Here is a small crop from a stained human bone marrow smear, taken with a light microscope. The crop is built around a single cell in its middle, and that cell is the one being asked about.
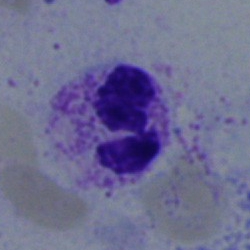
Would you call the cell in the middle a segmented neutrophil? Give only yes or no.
yes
